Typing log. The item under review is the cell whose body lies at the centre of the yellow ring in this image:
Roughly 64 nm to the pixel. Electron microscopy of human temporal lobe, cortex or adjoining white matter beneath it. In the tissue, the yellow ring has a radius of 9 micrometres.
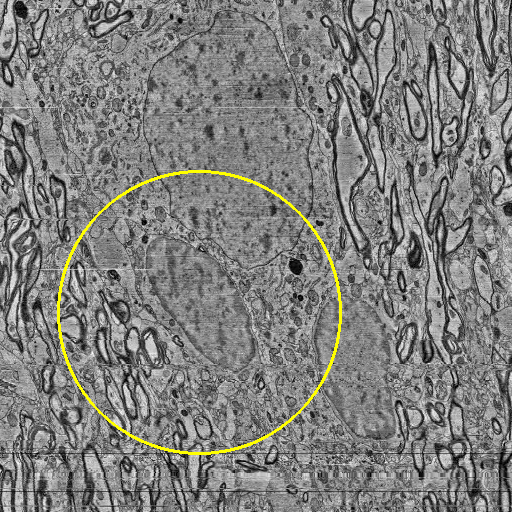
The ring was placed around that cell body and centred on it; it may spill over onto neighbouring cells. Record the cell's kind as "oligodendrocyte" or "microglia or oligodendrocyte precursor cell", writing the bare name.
oligodendrocyte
